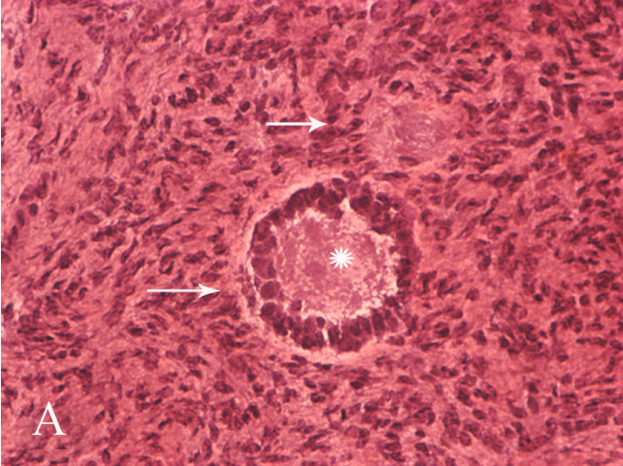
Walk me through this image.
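Ovarian cortex with a follicle set in densely cellular stroma of spindle-shaped cells with elongated dark nuclei. The follicle holds a central large oocyte with pale pink cytoplasm. A second, paler round profile lies nearby in the stroma.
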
